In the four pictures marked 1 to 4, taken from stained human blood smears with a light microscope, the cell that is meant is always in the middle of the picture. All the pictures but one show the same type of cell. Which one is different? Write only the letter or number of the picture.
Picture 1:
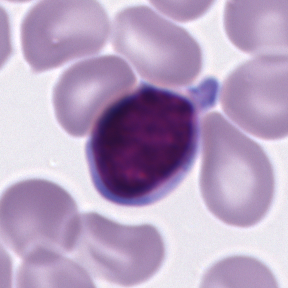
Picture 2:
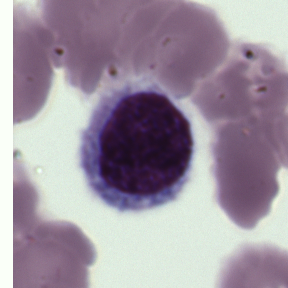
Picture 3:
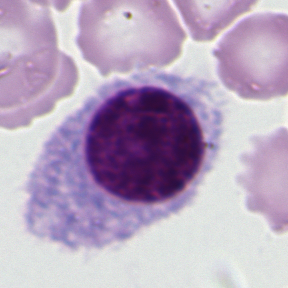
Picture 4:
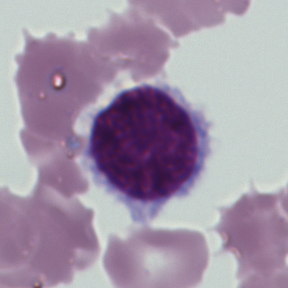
1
